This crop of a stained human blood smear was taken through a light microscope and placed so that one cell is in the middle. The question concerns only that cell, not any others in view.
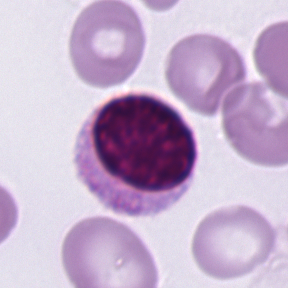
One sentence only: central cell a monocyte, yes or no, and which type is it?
No, the cell found centrally in the crop is a large granular lymphocyte, not a monocyte.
